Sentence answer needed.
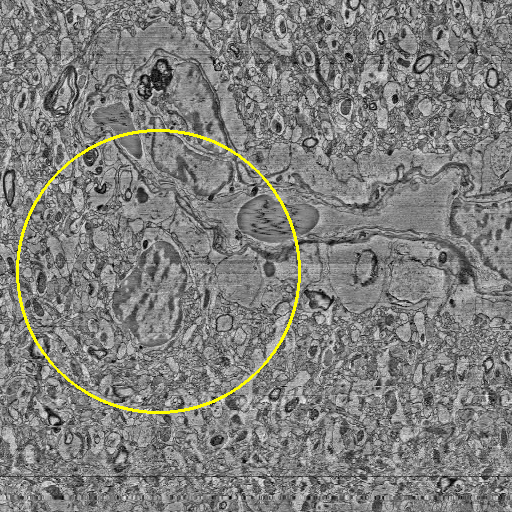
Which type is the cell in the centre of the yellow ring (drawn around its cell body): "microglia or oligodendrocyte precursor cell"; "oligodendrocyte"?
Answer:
In the centre of the yellow ring is a microglial cell or oligodendrocyte precursor cell.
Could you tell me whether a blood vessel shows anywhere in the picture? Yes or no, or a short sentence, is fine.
Yes, there is a blood vessel.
